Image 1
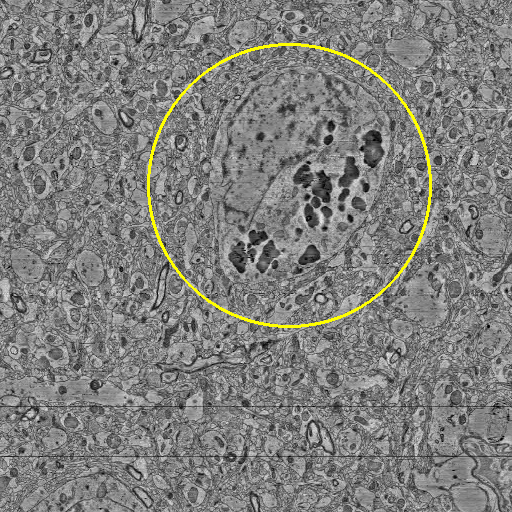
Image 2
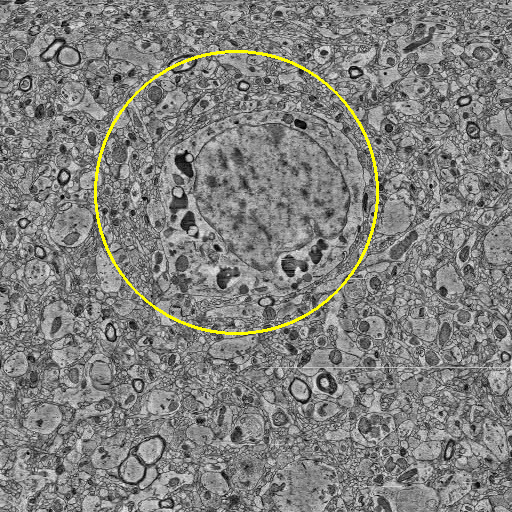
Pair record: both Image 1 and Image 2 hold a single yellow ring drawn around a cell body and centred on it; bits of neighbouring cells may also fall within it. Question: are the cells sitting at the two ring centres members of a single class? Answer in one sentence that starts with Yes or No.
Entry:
Yes, both ring-centre cells in Image 1 and Image 2 are members of one class.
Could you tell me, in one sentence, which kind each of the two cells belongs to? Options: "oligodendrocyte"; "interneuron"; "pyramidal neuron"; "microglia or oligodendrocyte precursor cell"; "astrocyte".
The cell at the ring centre is an interneuron in both pictures.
